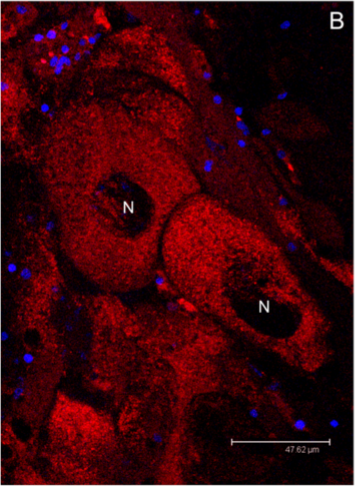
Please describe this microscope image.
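Large mature eggs lie packed side by side, each a broad oval cell with a large, dark nucleus set near its middle. Their cytoplasm is densely filled with fine red granules spread fairly evenly throughout, while the nuclei stay mostly unstained and dark. Neighbouring eggs abut one another, and further red-stained cell profiles fill the spaces around them. Small round blue nuclei of much smaller cells are scattered between and around the eggs, gathered most densely toward the upper left.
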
